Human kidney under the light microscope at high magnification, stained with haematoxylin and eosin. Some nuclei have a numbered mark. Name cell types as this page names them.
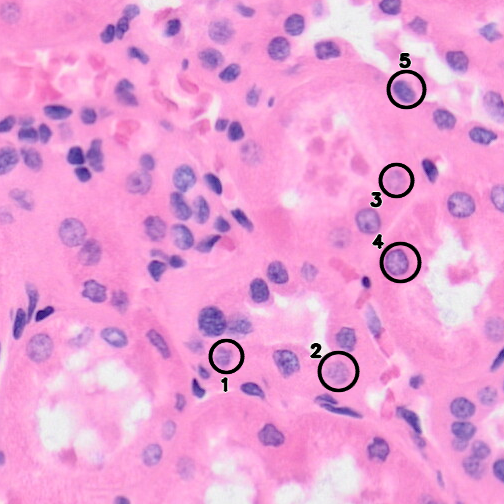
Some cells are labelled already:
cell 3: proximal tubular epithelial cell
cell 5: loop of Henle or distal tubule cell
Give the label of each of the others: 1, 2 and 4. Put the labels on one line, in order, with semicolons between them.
loop of Henle or distal tubule cell; loop of Henle or distal tubule cell; proximal tubular epithelial cell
